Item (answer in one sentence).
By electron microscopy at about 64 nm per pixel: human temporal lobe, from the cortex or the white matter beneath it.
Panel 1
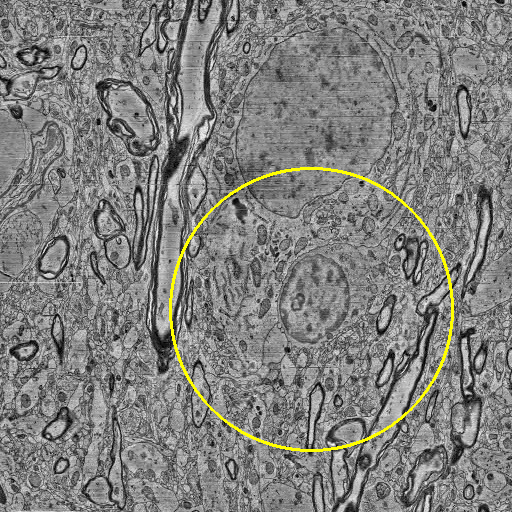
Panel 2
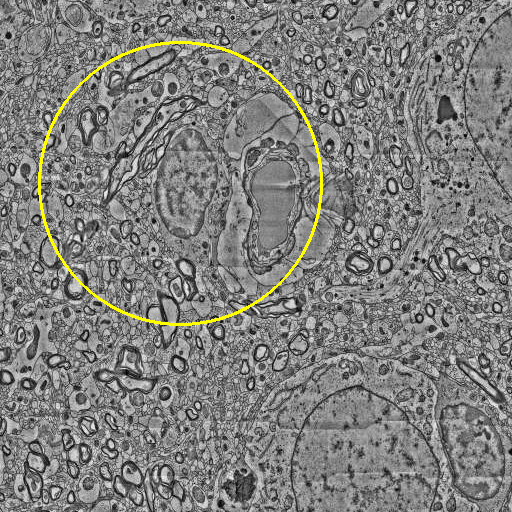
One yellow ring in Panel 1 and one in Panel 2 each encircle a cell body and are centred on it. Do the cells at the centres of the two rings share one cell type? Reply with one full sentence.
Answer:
Yes, Panel 1 and Panel 2 show cells of one type at the centres of their rings.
